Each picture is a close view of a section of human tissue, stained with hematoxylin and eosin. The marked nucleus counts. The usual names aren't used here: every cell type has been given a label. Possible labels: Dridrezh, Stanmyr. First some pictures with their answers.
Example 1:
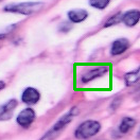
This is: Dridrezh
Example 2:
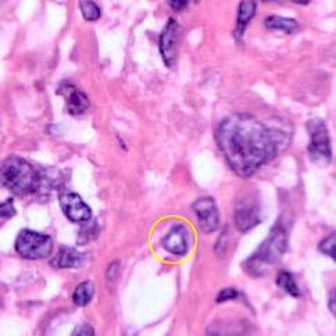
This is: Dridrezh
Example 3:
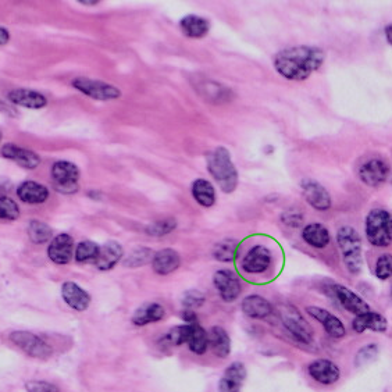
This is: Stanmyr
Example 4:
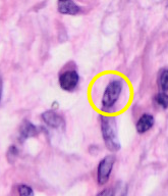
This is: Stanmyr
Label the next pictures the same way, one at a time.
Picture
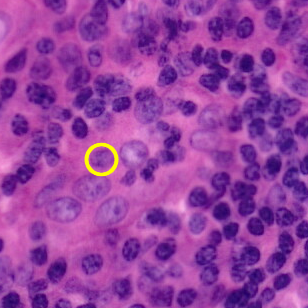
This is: Dridrezh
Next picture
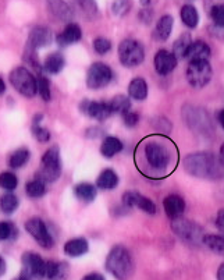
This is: Dridrezh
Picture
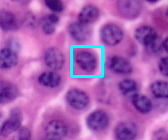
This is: Stanmyr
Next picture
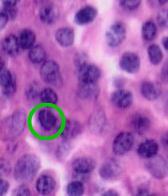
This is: Stanmyr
